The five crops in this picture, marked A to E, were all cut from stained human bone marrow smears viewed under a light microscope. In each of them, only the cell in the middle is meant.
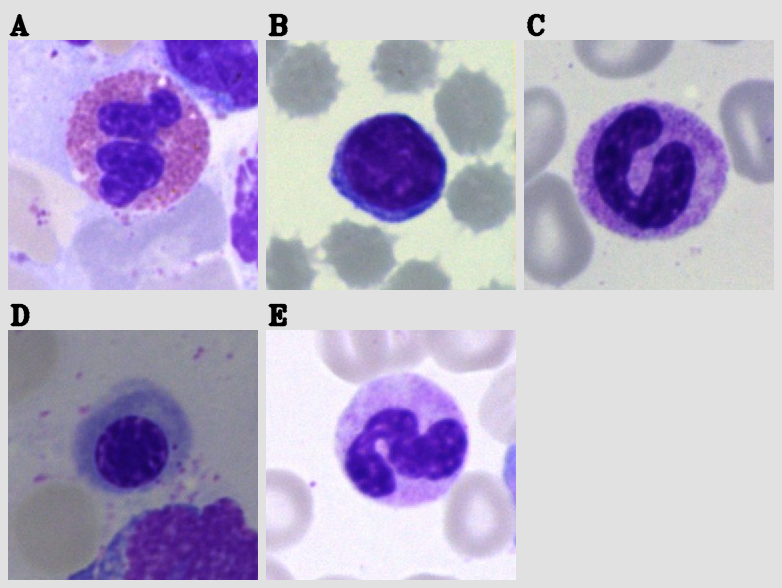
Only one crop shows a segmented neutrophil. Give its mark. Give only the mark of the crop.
E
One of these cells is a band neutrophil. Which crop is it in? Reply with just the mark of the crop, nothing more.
C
